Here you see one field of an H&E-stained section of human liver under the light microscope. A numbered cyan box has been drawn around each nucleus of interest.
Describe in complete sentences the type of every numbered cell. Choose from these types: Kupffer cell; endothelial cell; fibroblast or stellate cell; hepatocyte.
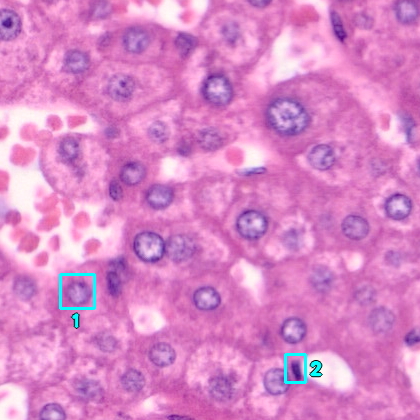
Cell 1 is a hepatocyte and cell 2 is a fibroblast or stellate cell.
